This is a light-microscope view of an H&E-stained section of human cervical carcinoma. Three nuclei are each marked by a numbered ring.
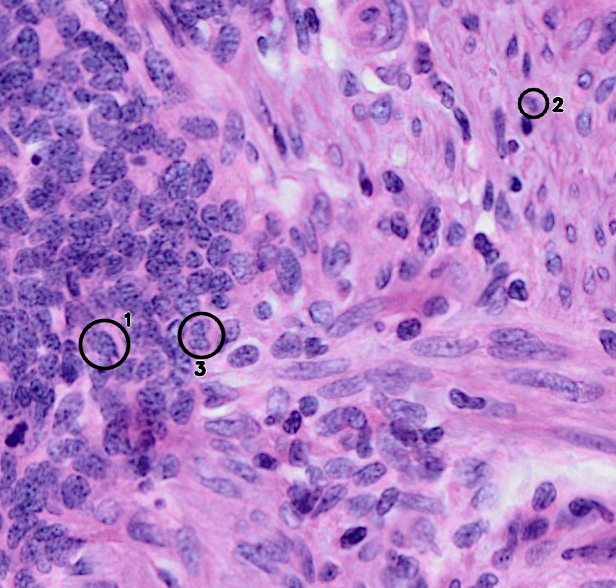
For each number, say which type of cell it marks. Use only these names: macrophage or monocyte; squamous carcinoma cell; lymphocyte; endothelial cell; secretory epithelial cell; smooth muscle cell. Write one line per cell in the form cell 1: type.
cell 1: squamous carcinoma cell
cell 2: smooth muscle cell
cell 3: squamous carcinoma cell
